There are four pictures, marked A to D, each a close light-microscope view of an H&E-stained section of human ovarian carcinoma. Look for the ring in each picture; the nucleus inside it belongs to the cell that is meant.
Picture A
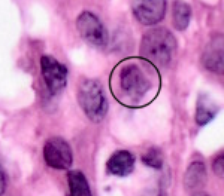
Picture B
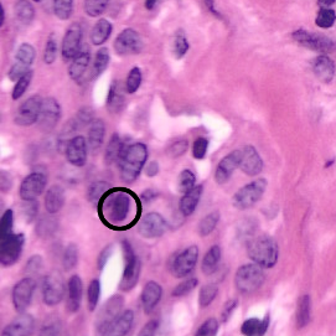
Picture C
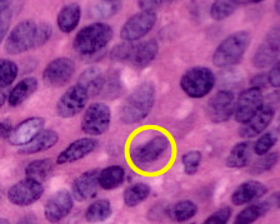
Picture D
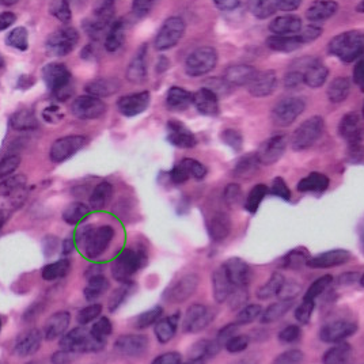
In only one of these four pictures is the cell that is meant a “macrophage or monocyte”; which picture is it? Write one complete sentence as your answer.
Picture A is the one that shows the “macrophage or monocyte”.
